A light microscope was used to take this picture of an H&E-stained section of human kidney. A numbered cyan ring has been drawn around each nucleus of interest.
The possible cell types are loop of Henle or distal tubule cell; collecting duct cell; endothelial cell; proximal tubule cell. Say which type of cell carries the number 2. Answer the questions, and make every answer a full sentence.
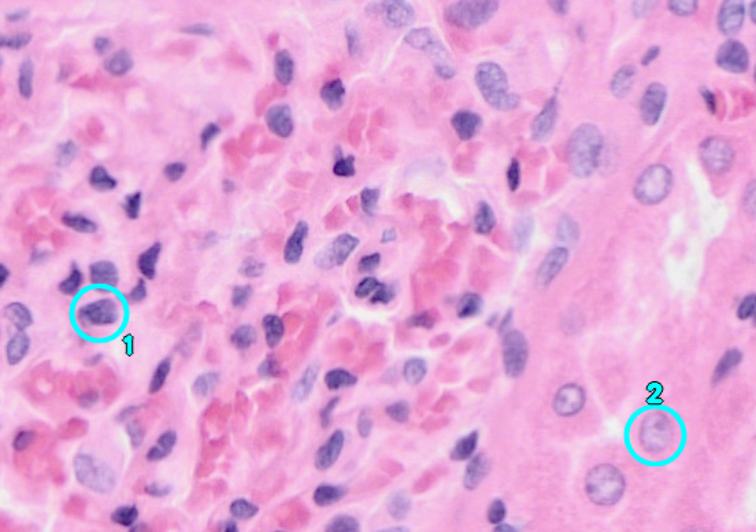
The nucleus with number 2 is that of a proximal tubule cell.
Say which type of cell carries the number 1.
Cell number 1 in this section is an endothelial cell.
